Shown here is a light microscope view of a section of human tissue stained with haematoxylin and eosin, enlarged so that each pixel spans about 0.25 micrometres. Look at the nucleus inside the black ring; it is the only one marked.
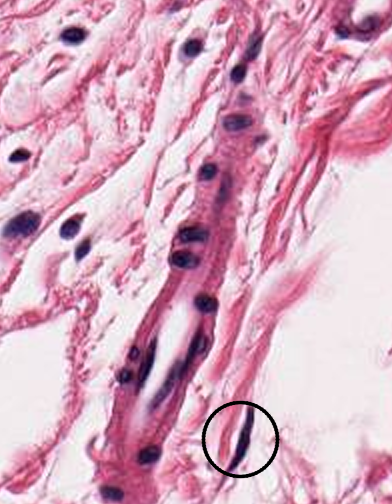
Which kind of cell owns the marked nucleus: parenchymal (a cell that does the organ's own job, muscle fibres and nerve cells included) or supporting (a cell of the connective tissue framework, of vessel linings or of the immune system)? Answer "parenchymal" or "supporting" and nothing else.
supporting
